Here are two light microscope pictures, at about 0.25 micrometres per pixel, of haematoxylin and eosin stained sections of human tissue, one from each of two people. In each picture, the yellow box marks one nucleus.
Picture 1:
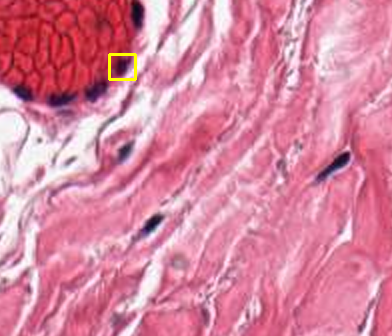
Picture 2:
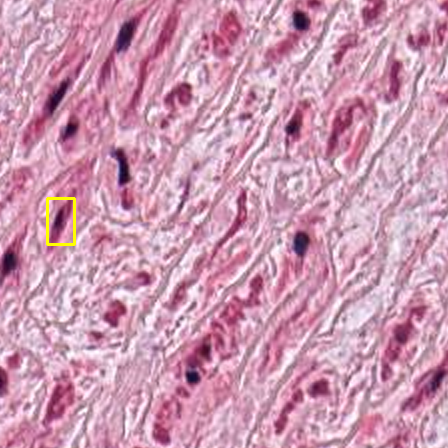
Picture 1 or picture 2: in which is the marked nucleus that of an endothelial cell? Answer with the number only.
1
